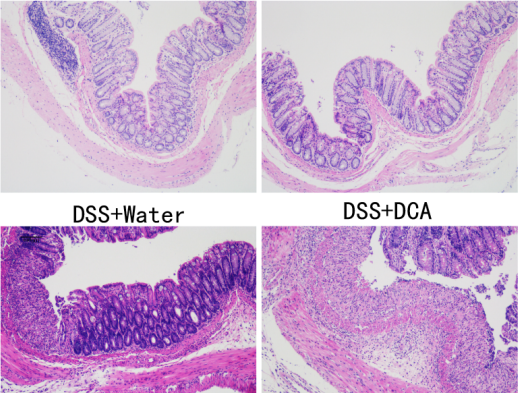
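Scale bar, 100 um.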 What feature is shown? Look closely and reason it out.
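Colonic crypts. Rows of tubular glands lined by purple-stained epithelium in the mucosa of the upper two images. The glands open toward the lumen and sit above a pink muscular wall.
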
